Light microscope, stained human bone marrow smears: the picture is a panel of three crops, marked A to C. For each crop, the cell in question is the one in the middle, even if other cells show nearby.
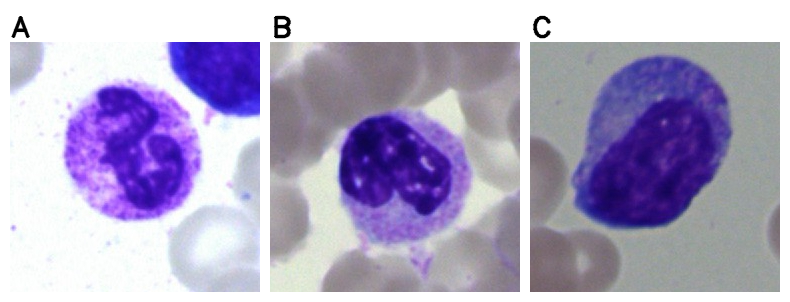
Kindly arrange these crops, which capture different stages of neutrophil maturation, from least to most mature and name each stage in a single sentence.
From lowest to highest maturity, the crops run crop C (a myelocyte), crop B (a band neutrophil) and crop A (a segmented neutrophil).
